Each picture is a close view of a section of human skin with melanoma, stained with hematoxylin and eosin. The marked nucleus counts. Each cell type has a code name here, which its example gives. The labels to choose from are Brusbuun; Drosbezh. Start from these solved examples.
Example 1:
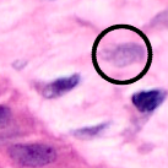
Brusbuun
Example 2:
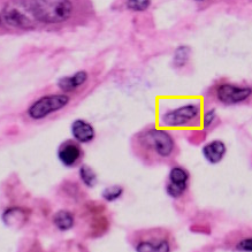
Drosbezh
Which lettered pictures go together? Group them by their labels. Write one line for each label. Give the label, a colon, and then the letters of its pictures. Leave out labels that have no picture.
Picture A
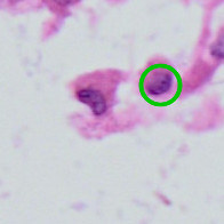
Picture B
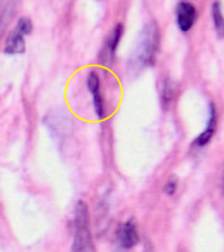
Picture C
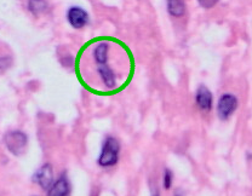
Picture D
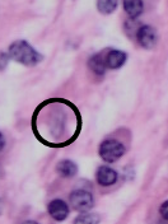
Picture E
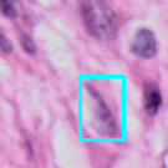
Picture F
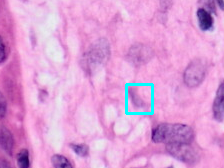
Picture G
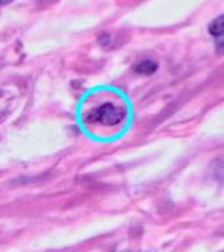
Brusbuun: B, D, E, F
Drosbezh: A, C, G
